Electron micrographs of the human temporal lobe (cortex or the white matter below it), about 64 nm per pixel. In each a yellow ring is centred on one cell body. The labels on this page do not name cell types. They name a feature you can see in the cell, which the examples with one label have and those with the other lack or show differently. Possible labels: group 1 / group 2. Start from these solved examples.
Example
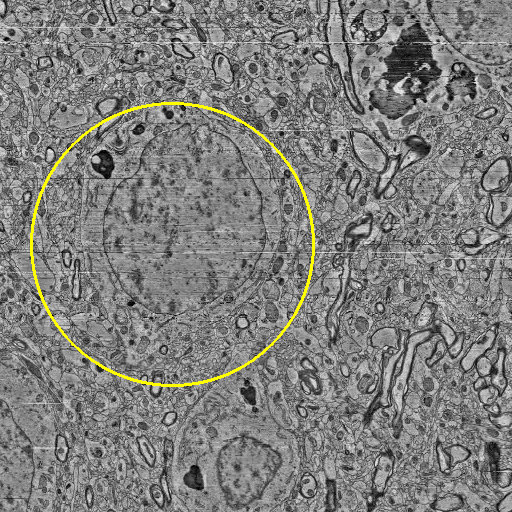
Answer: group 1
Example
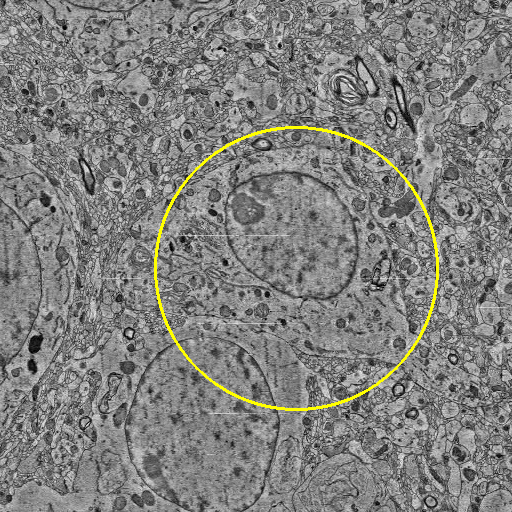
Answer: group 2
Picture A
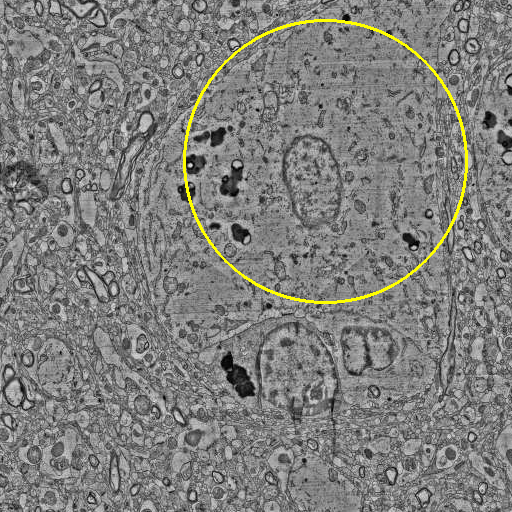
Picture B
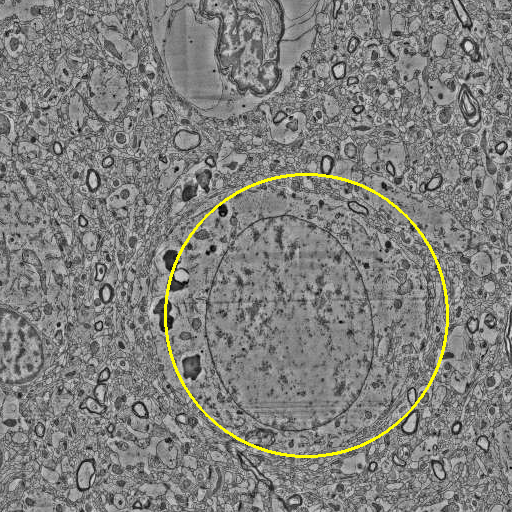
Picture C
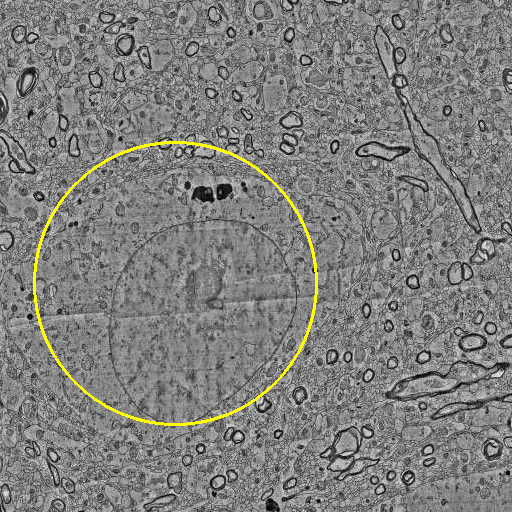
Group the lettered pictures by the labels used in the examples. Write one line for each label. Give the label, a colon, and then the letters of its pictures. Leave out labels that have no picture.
group 1: A, B, C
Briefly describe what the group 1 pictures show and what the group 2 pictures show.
group 1, no nucleolus seen; group 2, nucleolus seen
